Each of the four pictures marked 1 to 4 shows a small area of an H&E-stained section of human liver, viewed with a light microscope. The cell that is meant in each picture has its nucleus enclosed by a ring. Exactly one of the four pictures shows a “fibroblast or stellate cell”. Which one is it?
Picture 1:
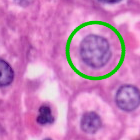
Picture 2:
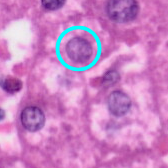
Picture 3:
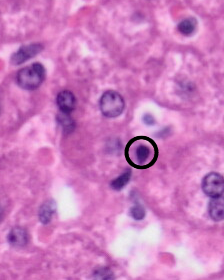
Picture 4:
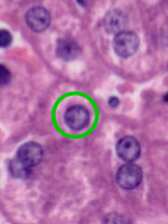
3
